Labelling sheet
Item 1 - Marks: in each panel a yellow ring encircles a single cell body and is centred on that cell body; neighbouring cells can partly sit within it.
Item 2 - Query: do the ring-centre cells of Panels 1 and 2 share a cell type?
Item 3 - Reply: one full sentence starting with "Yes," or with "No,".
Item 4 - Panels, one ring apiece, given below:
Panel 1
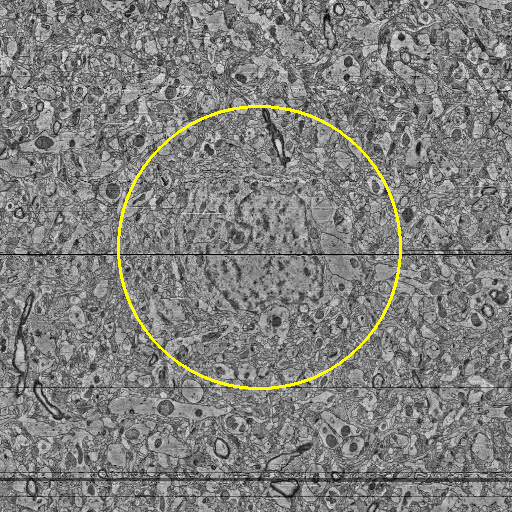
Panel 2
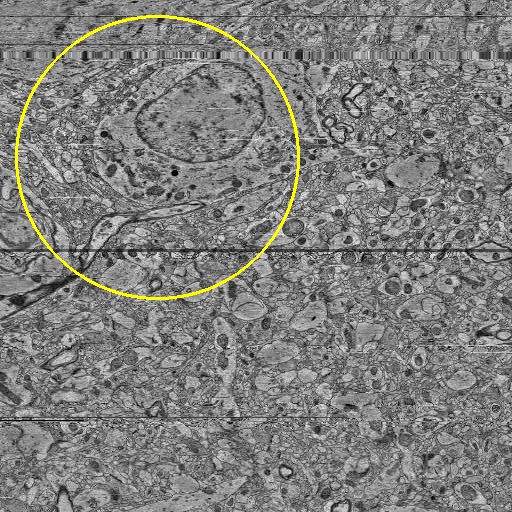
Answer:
No, Panel 1 and Panel 2 show two cell types at the centres of their rings.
